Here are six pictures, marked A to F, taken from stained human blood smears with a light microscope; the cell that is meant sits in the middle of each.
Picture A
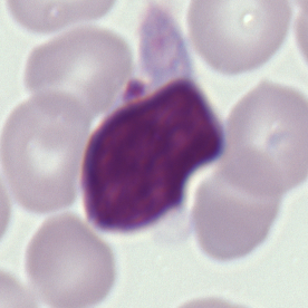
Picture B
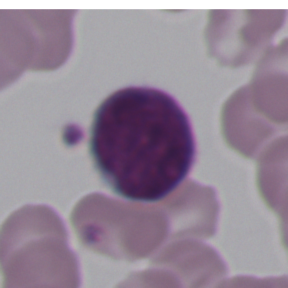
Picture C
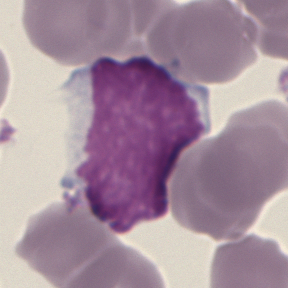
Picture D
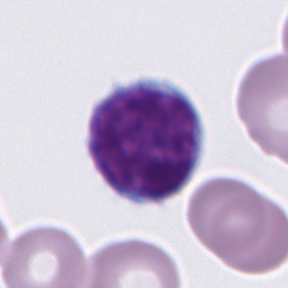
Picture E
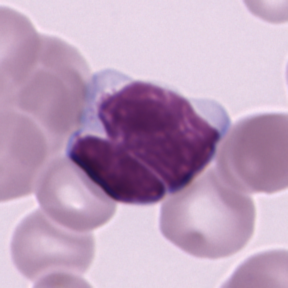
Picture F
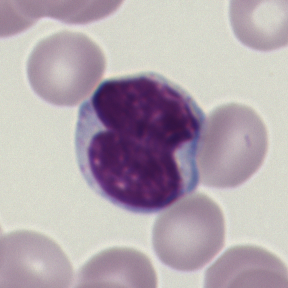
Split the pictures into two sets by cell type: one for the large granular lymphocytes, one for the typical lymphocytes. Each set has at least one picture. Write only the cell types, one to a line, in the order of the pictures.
typical lymphocyte
typical lymphocyte
typical lymphocyte
typical lymphocyte
large granular lymphocyte
large granular lymphocyte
